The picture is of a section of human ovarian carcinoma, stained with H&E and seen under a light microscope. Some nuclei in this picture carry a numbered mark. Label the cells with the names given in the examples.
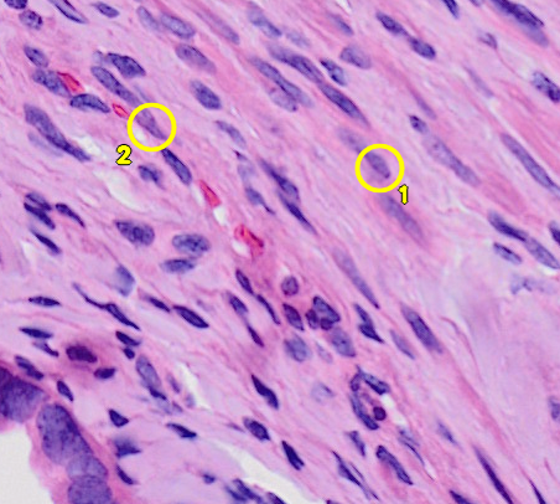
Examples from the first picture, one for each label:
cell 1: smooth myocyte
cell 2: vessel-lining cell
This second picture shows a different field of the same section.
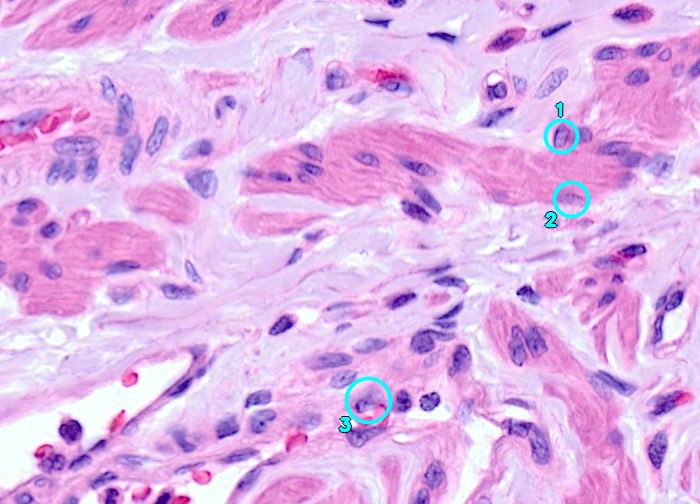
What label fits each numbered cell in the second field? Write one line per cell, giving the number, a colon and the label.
1: smooth myocyte
2: smooth myocyte
3: vessel-lining cell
